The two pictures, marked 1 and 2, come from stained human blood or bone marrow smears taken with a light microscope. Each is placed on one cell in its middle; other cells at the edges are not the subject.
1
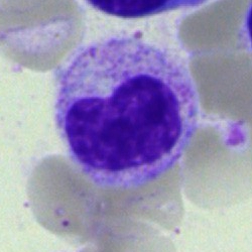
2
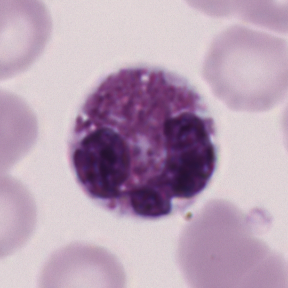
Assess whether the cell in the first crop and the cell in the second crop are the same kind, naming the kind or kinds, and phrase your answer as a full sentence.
No, crop 1 shows a metamyelocyte, with an eosinophil shown in crop 2.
